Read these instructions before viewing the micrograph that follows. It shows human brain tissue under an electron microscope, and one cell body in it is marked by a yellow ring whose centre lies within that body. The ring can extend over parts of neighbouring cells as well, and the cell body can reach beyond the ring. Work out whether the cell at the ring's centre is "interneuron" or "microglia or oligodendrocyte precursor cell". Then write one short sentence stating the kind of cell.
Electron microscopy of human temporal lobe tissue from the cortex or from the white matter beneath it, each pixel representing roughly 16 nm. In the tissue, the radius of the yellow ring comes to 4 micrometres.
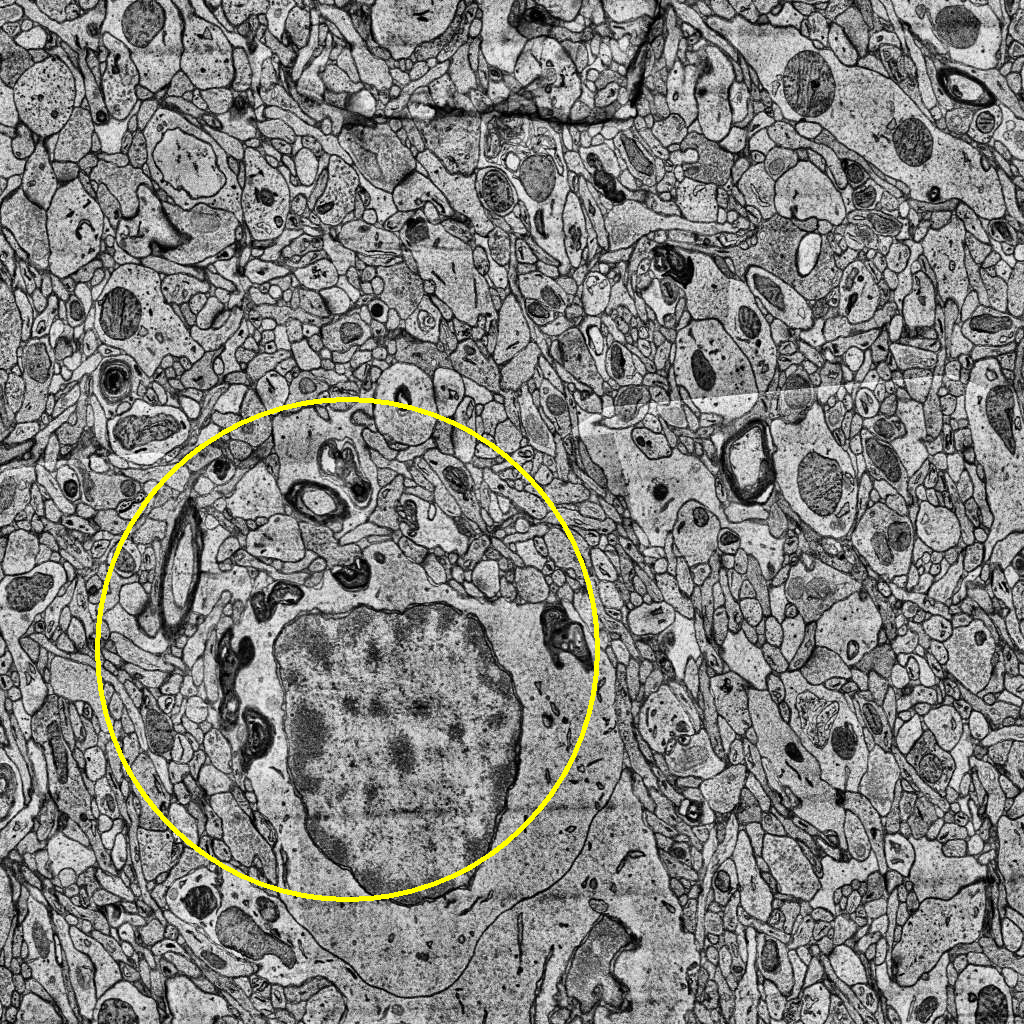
The cell at the ring's centre is a microglial cell or oligodendrocyte precursor cell.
